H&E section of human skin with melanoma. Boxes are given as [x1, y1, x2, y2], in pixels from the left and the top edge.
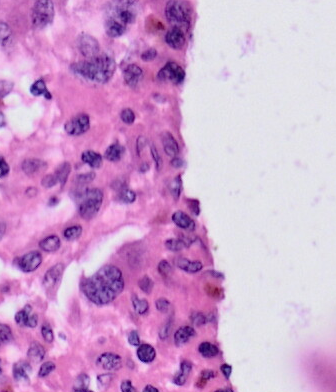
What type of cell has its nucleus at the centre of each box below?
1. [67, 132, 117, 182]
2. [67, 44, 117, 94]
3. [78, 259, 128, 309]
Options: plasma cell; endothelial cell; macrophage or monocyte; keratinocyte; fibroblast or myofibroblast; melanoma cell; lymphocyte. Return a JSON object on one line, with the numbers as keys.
{"1": "lymphocyte", "2": "melanoma cell", "3": "melanoma cell"}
